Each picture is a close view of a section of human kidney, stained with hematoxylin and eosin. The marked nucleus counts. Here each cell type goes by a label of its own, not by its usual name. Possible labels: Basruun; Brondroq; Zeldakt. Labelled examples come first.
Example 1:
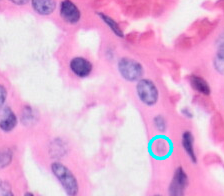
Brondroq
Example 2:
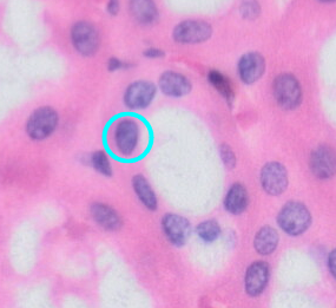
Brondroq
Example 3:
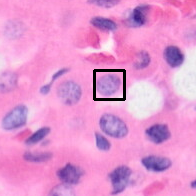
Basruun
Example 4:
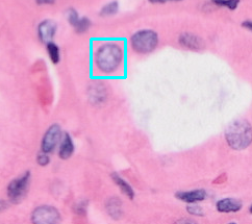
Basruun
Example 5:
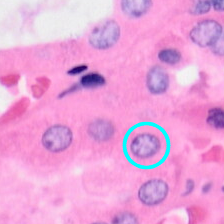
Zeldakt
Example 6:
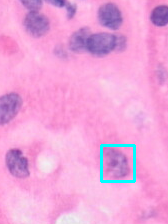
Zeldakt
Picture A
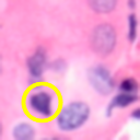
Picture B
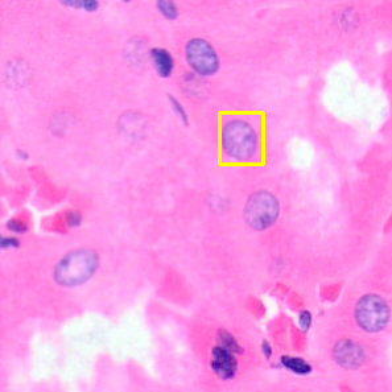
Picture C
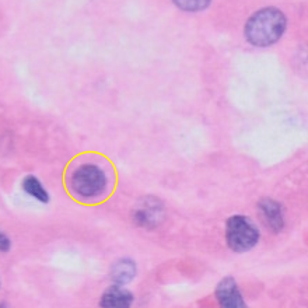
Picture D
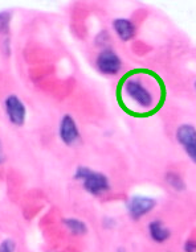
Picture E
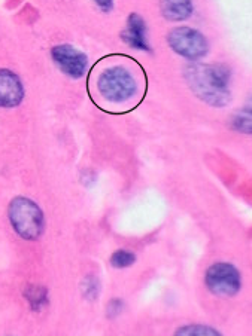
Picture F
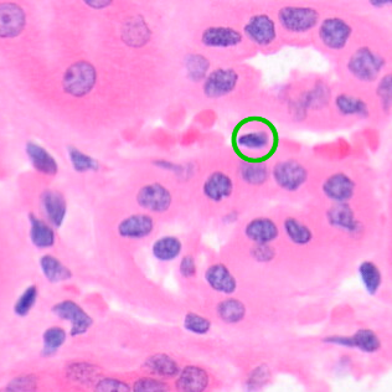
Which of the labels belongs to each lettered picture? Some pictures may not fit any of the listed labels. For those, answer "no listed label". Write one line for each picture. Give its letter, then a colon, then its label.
A: Brondroq
B: Zeldakt
C: Zeldakt
D: no listed label
E: Basruun
F: no listed label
